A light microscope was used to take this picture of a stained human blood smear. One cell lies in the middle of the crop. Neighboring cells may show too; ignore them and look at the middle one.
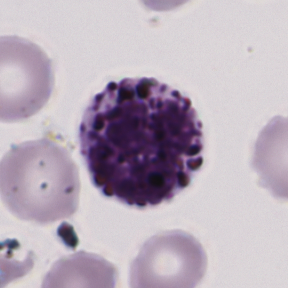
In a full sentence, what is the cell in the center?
The cell at the heart of this crop is a basophil.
